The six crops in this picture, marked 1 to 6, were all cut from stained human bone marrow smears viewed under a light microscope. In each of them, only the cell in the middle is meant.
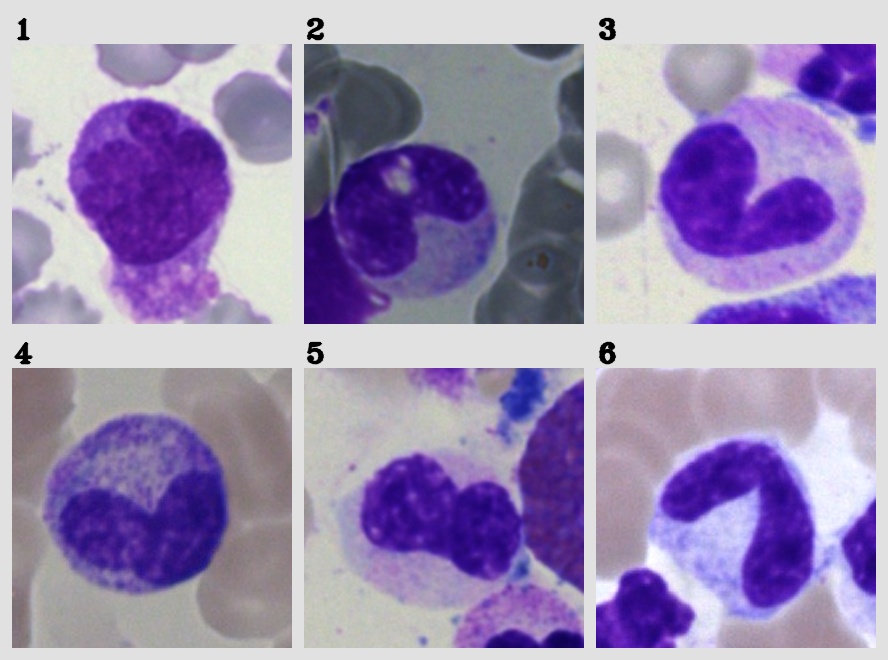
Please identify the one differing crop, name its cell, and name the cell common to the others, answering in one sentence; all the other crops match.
Crop 1 is a monocyte, unlike the other crops, which all show band neutrophils.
